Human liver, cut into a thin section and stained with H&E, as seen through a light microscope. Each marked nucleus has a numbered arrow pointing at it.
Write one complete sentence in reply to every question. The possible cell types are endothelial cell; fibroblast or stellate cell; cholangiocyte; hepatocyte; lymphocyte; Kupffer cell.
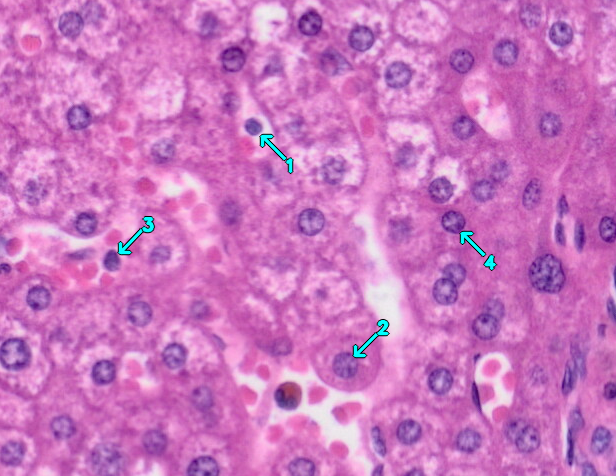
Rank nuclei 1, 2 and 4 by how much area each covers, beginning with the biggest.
By area, largest first, they run 2, 4, 1.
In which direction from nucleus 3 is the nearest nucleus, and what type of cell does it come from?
A Kupffer cell lies closest, to the left of nucleus 3.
